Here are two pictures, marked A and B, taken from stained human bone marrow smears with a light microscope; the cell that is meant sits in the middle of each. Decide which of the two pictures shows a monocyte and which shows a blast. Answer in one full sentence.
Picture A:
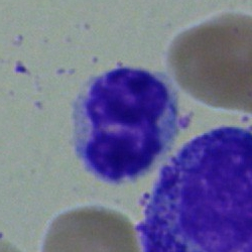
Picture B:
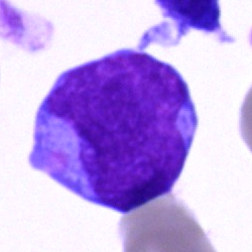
The cell in picture A is a monocyte, and the one in picture B is a blast.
